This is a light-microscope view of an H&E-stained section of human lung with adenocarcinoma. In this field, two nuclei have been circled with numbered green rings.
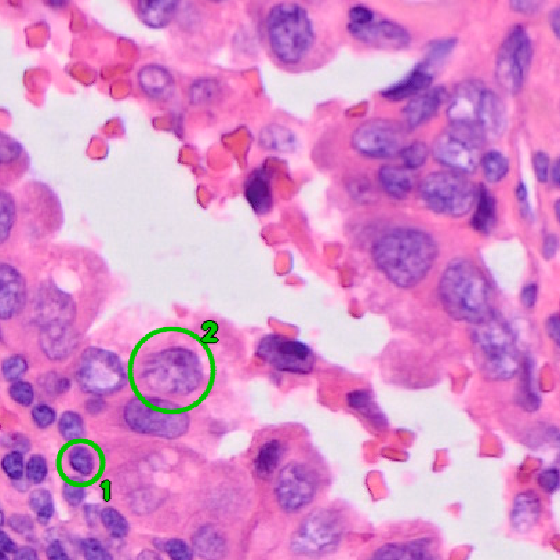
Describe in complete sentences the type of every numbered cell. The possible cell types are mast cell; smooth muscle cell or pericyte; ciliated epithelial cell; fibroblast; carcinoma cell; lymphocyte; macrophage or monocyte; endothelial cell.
Cell 1 is a lymphocyte. Cell 2 is a carcinoma cell.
